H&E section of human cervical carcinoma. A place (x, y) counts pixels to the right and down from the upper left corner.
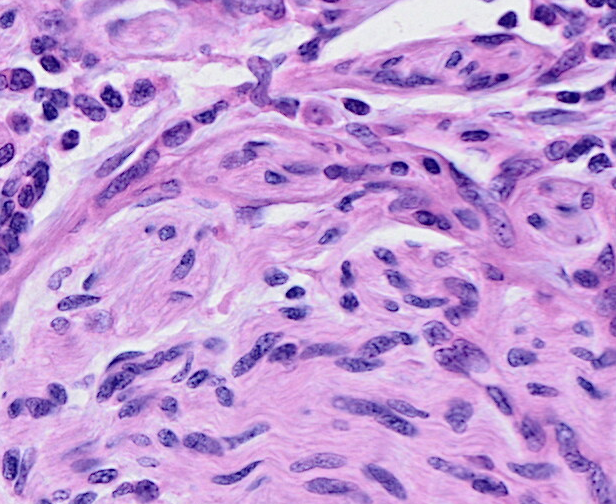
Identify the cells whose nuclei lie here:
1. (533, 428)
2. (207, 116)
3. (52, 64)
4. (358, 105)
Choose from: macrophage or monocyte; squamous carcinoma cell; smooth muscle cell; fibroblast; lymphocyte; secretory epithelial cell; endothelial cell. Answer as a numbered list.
1. endothelial cell
2. lymphocyte
3. lymphocyte
4. lymphocyte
